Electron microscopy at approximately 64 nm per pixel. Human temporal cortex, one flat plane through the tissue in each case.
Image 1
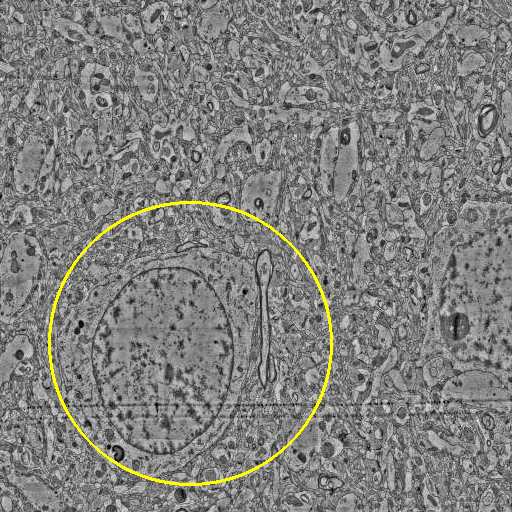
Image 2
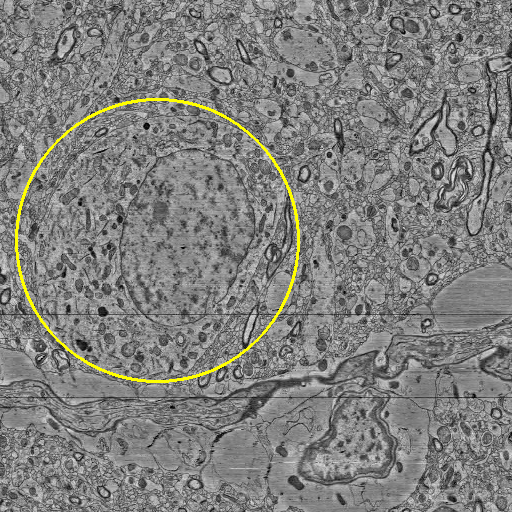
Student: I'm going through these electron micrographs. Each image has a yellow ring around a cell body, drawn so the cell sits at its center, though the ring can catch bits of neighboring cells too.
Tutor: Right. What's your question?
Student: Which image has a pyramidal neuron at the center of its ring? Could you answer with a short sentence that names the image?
Image 1 shows it at the center of its ring.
